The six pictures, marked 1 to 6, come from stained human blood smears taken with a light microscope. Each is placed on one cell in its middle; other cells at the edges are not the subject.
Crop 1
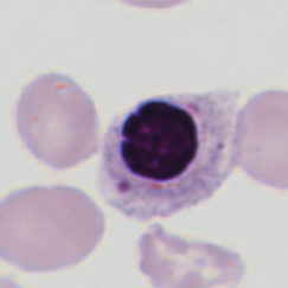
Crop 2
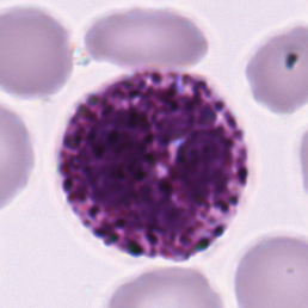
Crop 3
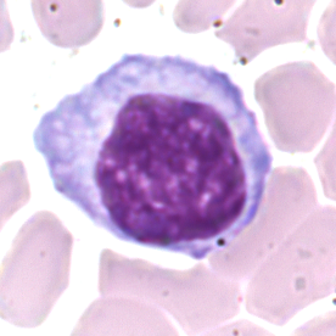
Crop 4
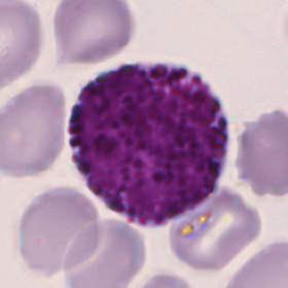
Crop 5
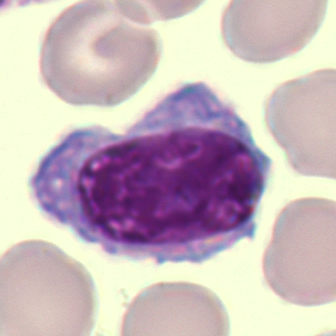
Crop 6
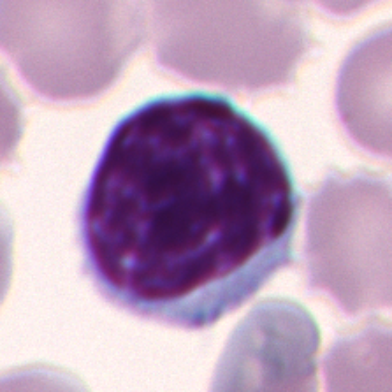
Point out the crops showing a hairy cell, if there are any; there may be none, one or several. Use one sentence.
Where the crops are concerned, none contains a hairy cell.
